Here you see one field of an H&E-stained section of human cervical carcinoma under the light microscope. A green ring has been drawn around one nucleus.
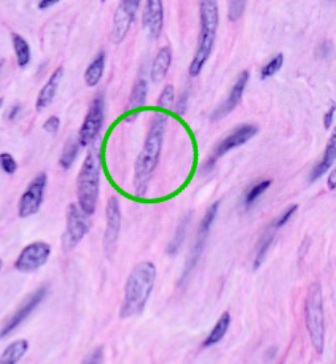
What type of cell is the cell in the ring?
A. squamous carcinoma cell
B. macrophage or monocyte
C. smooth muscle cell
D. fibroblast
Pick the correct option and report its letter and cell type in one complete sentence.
Option C is the one that fits, as the cell in the ring is a smooth muscle cell.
